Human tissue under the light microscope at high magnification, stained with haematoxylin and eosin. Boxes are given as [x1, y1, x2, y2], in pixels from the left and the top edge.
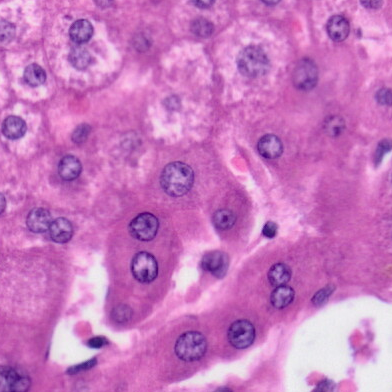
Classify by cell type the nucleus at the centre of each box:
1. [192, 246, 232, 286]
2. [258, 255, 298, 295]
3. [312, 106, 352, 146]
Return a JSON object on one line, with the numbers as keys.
{"1": "Kupffer cell", "2": "hepatocyte", "3": "hepatocyte"}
